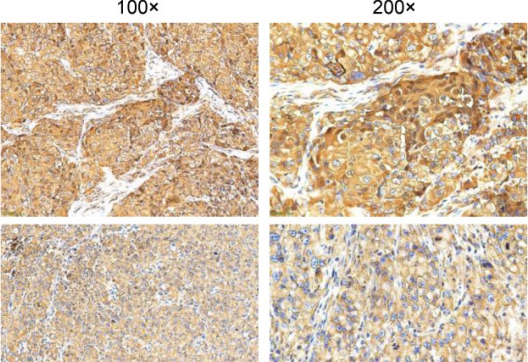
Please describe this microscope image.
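Four fields of solid tumor tissue show sheets and nests of closely packed polygonal tumor cells with round to oval, blue-stained nuclei. The nests are divided by thin, pale bands of fibrous stroma. In the upper row the cytoplasm of the tumor cells is stained a strong, diffuse brown. In the lower row the brown cytoplasmic staining is much weaker, and the blue nuclei stand out more clearly.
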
